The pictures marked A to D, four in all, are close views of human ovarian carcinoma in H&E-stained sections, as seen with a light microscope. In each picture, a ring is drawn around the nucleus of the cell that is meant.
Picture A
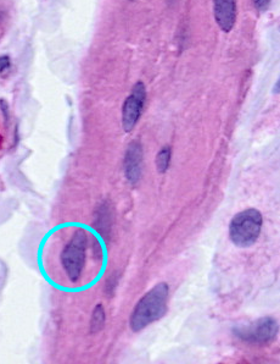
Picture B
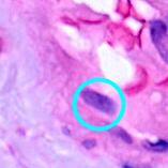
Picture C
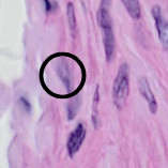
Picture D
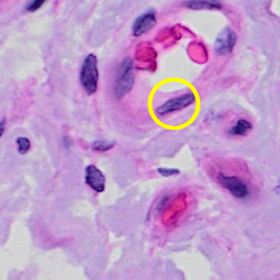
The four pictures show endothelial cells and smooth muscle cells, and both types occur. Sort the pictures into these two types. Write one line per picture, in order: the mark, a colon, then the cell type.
A: smooth muscle cell
B: endothelial cell
C: smooth muscle cell
D: endothelial cell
